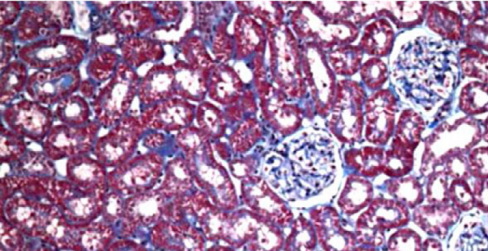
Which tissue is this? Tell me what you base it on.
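Kidneys. Several round tufts of capillary loops within clear capsular spaces. Densely packed tubule cross-sections with red-staining epithelium around open lumens.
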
